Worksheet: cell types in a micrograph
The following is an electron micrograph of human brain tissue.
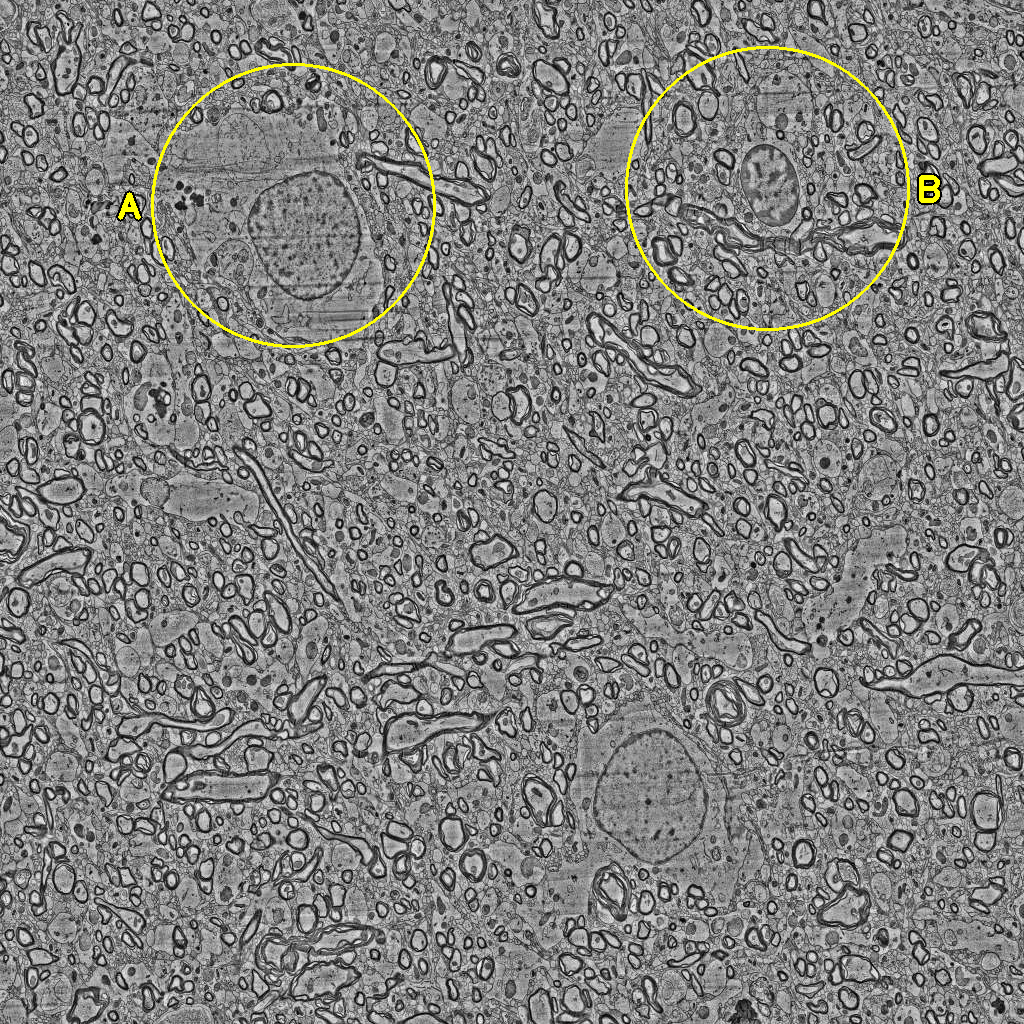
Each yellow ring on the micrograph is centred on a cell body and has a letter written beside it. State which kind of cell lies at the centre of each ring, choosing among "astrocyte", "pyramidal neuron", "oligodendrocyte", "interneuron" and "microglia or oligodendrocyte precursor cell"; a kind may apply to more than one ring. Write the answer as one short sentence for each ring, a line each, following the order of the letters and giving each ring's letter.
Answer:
Ring A has an astrocyte in its centre.
Ring B has a microglial cell or oligodendrocyte precursor cell in its centre.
